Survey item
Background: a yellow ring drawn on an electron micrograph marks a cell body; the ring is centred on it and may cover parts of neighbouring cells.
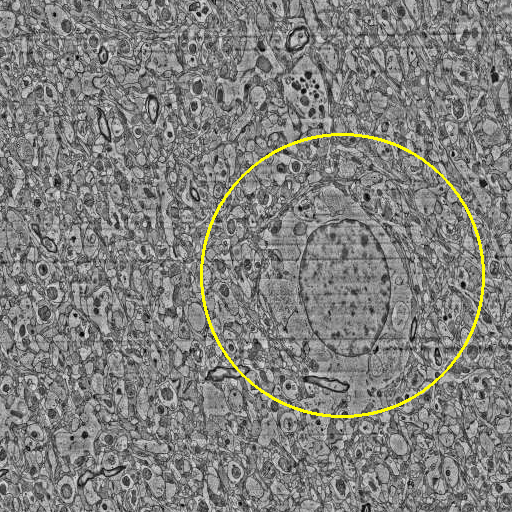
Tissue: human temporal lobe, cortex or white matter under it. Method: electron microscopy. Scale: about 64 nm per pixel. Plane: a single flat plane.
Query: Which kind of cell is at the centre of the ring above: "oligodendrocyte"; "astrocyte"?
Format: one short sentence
The cell in the middle of the ring is an astrocyte.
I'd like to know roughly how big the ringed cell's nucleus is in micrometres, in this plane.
In this plane, the nucleus is roughly 9 by 6 micrometres.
